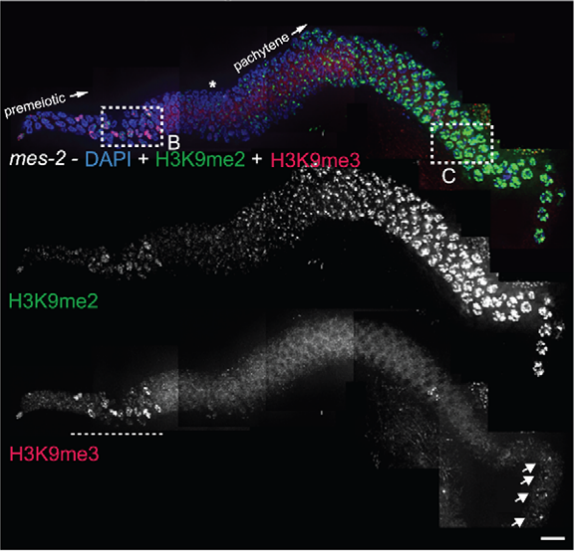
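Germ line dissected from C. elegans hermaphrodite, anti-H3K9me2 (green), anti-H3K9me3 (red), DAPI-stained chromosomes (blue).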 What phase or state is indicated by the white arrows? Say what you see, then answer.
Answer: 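The arrows point to nuclei at the far right end of the germ line. There the nuclei lie in a single line rather than a broad field. The answer: diplotene nuclei.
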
